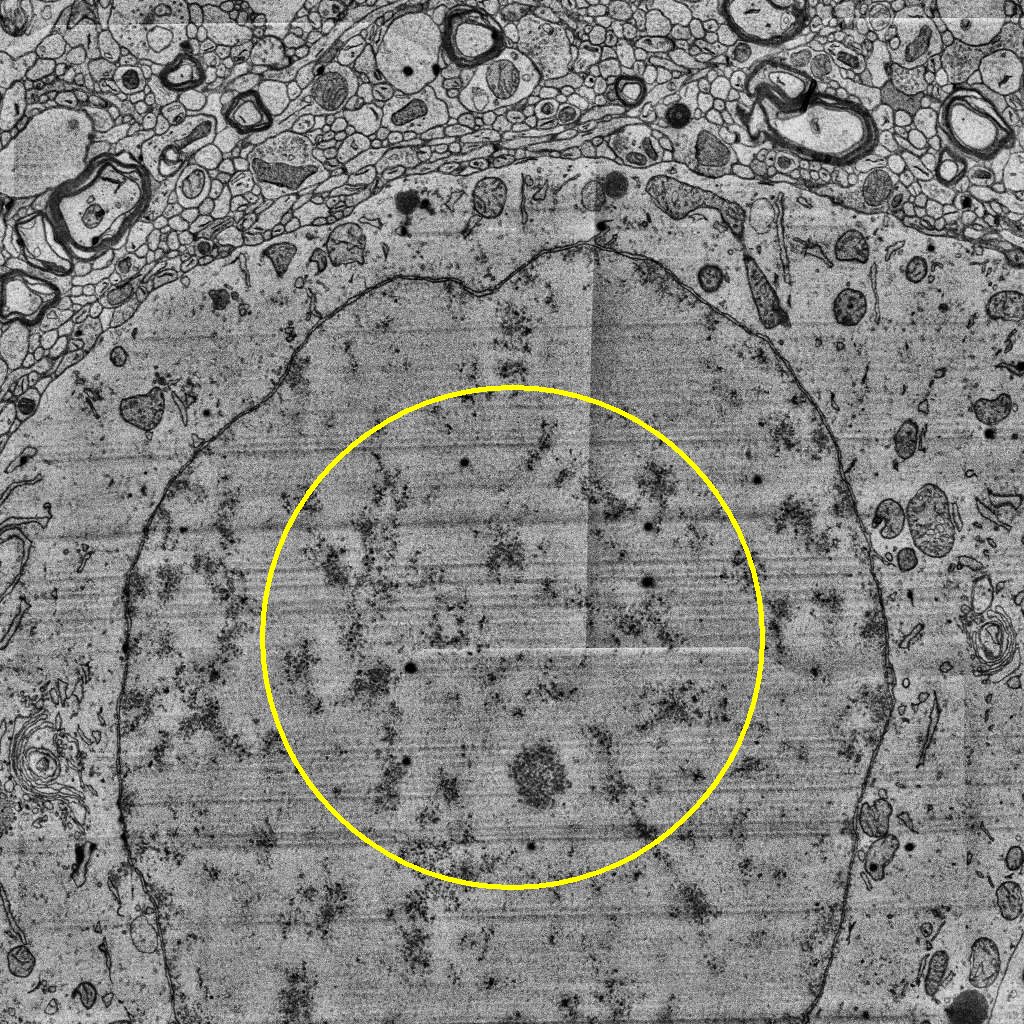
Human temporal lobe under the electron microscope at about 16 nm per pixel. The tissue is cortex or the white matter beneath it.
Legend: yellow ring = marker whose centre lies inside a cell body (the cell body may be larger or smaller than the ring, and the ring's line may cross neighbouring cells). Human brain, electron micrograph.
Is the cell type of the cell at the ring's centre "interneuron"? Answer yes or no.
no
